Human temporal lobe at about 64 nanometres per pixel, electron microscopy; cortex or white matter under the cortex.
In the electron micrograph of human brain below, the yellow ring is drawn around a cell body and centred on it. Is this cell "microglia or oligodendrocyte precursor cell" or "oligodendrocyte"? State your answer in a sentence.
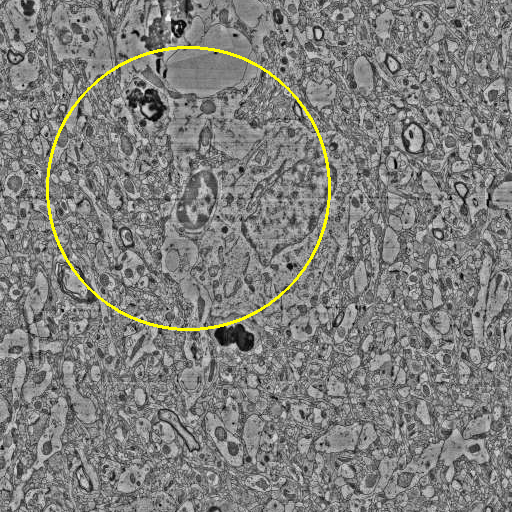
The cell in the middle of the ring is a microglial cell or oligodendrocyte precursor cell.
